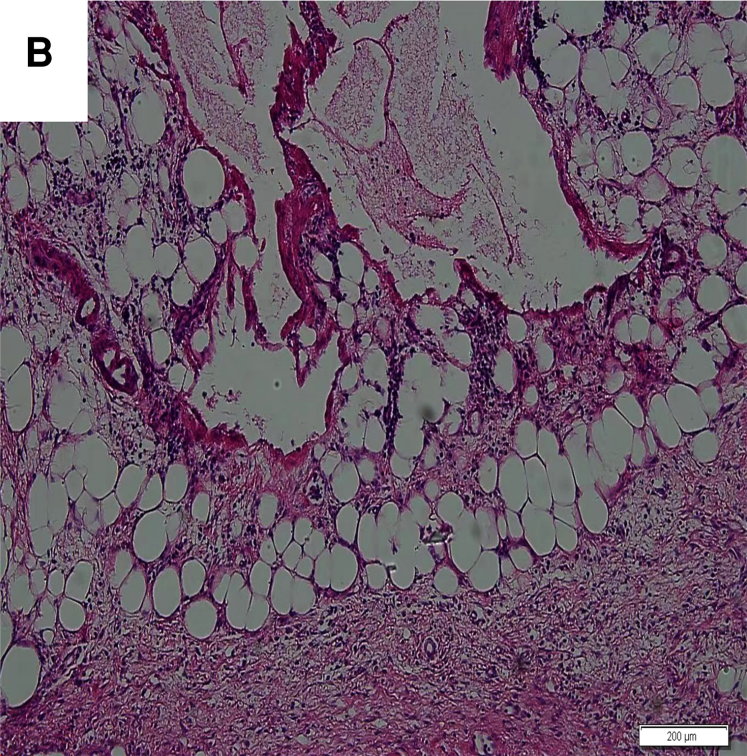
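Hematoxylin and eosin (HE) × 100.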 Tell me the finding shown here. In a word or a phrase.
Protein exudation.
